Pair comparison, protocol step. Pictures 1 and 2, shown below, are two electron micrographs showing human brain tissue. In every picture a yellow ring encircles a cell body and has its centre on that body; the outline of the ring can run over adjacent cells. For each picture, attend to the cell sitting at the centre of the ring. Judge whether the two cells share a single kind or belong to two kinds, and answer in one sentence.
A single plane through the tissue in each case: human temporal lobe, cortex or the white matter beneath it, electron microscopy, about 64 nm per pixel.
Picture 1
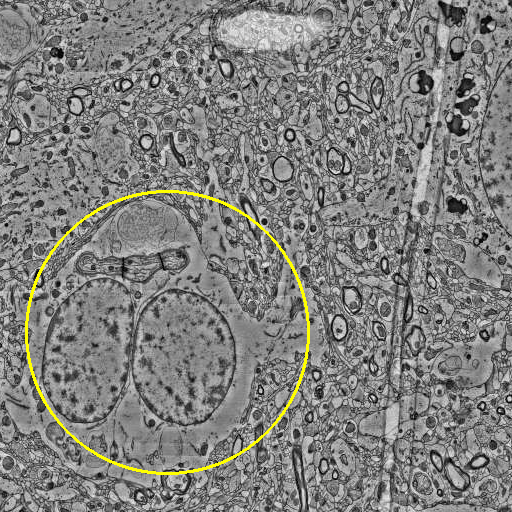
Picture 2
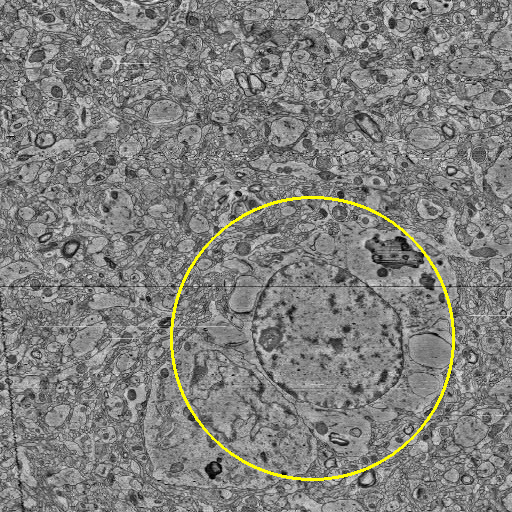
The two cells at the ring centres in Picture 1 and Picture 2 share a single kind.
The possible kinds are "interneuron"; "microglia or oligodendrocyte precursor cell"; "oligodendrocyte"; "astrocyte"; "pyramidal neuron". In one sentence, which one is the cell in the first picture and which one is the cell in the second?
Both rings mark an astrocyte, one in each picture.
